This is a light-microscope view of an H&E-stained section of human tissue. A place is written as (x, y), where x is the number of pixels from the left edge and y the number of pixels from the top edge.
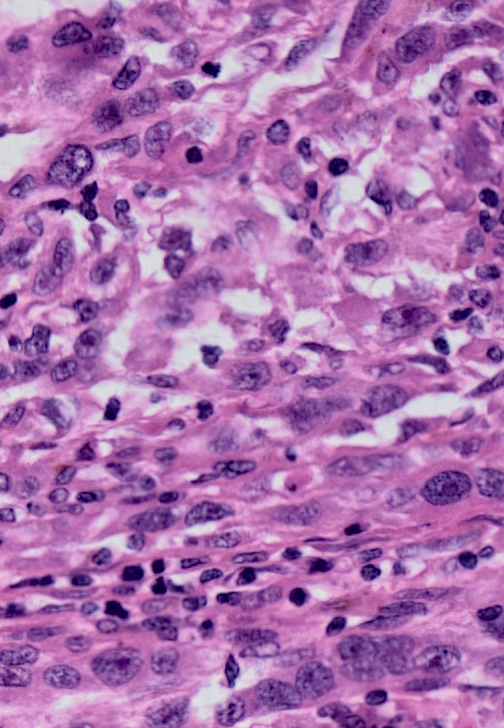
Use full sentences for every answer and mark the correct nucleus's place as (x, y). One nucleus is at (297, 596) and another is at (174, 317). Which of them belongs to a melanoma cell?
Of the two nuclei, the one sitting at (174, 317) belongs to a melanoma cell.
